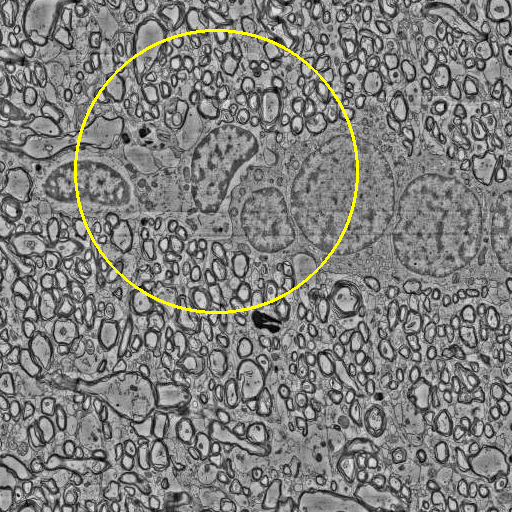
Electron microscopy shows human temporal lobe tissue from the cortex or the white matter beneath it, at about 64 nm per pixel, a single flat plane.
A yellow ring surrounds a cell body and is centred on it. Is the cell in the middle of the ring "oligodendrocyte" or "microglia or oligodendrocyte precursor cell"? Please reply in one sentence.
The ring is centred on a microglial cell or oligodendrocyte precursor cell.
